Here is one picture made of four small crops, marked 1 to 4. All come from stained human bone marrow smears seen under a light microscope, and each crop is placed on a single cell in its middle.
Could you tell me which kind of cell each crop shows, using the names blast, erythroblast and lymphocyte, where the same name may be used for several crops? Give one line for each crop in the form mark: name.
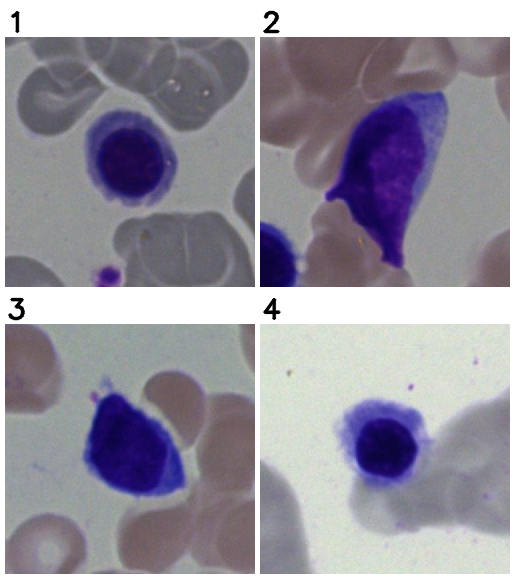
1: erythroblast
2: blast
3: lymphocyte
4: erythroblast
